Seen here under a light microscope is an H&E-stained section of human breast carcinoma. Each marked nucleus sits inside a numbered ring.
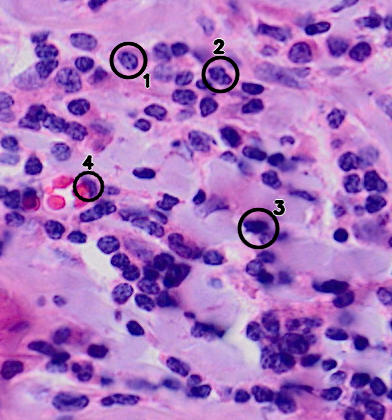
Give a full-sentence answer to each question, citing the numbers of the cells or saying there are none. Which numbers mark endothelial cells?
None but cell 4 among the numbered cells is an endothelial cell.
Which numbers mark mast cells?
Cell 1 is the single numbered cell that is a mast cell.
